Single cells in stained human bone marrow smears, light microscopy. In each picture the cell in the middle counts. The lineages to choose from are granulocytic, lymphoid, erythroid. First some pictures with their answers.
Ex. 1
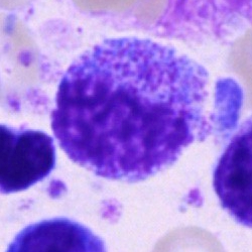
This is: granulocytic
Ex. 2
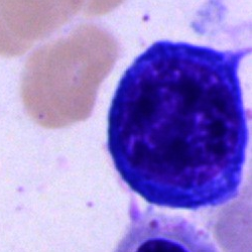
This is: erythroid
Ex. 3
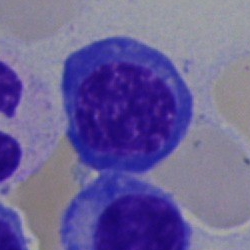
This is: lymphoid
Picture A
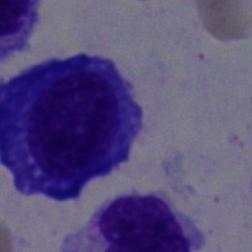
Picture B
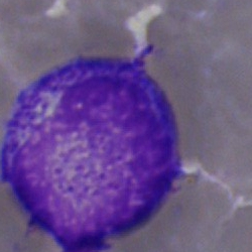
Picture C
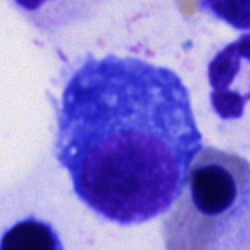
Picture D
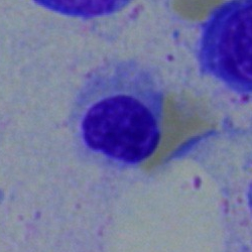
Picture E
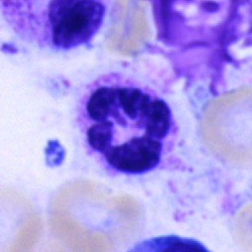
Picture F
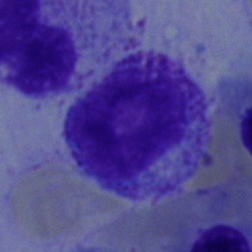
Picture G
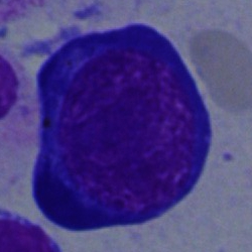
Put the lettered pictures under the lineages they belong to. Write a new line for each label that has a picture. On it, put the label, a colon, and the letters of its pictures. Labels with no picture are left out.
granulocytic: B, E, F
lymphoid: A, C
erythroid: D, G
